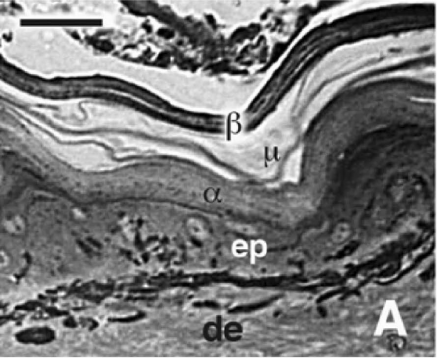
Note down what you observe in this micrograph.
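The outermost layers are thin, dark and compact, followed by a pale lamellar band and then a grey band of flattened cells above the living epidermal cells with rounded nuclei. Beneath lies dermis with dark elongated pigment cells and scattered nuclei.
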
